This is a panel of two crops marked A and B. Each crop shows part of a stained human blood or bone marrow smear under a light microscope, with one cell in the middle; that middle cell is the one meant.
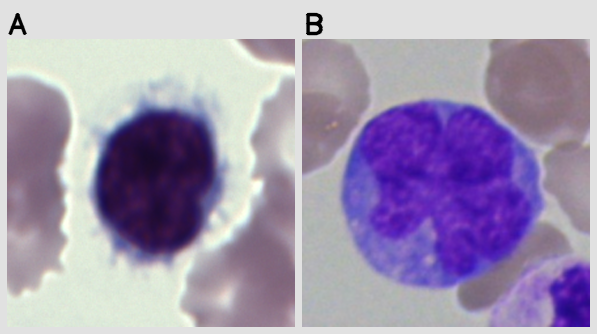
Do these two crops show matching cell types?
no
